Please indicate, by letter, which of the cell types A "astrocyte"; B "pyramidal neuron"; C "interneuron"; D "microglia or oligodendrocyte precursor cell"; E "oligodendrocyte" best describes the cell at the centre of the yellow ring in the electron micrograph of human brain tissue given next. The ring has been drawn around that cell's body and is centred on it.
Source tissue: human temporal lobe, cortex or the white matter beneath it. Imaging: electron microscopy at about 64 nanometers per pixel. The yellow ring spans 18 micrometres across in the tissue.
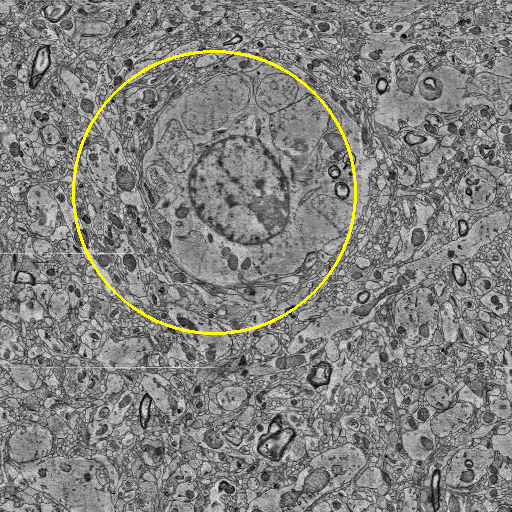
A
